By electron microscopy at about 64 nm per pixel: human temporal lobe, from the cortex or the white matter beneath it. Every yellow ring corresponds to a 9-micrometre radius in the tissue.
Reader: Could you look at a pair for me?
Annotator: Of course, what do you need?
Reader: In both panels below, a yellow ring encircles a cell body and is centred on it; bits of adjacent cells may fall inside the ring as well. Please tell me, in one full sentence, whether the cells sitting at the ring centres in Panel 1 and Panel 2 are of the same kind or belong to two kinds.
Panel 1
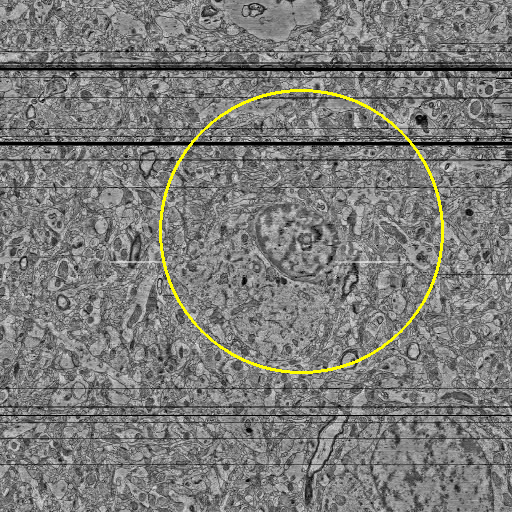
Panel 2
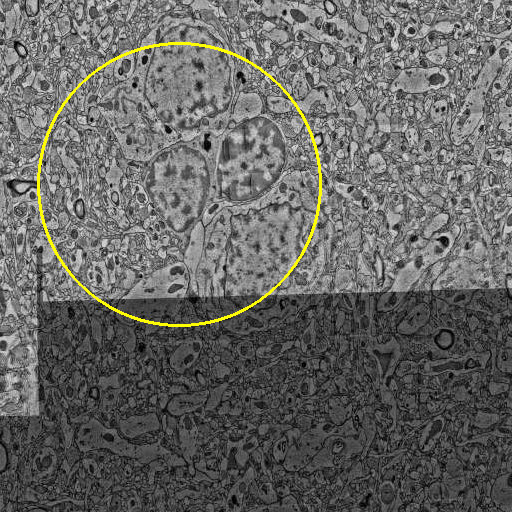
The cell at the ring's centre in Panel 1 and the one in Panel 2 are of the same kind.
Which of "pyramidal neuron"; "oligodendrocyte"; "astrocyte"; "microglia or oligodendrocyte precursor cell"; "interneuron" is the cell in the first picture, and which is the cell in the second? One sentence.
Each cell, in the first picture and the second, is an oligodendrocyte.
